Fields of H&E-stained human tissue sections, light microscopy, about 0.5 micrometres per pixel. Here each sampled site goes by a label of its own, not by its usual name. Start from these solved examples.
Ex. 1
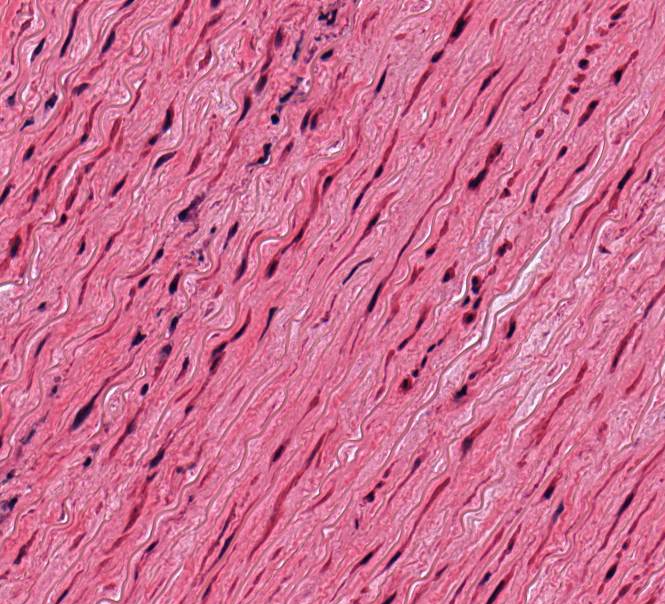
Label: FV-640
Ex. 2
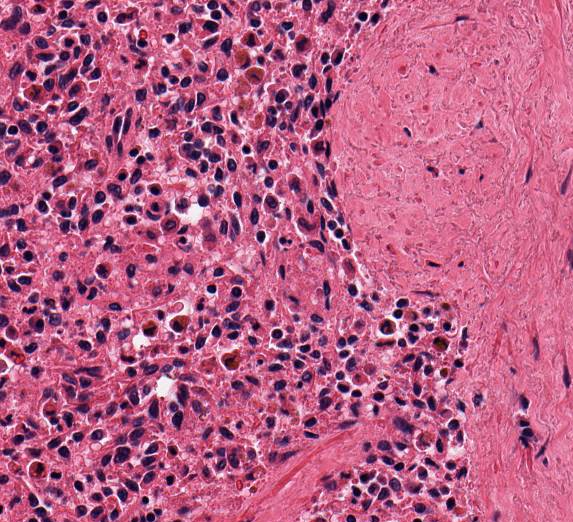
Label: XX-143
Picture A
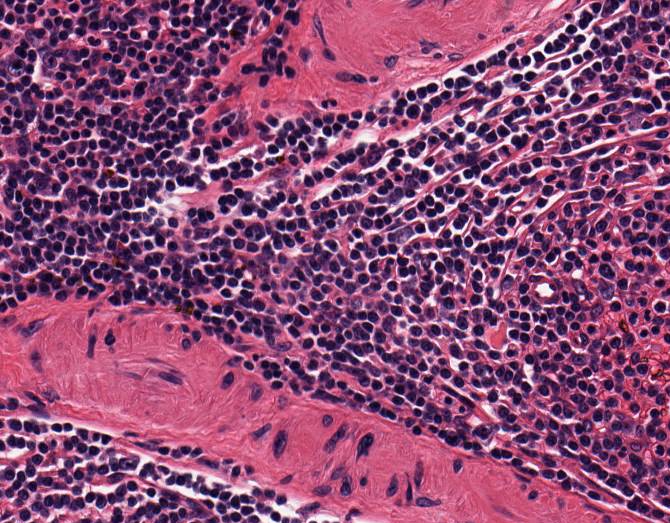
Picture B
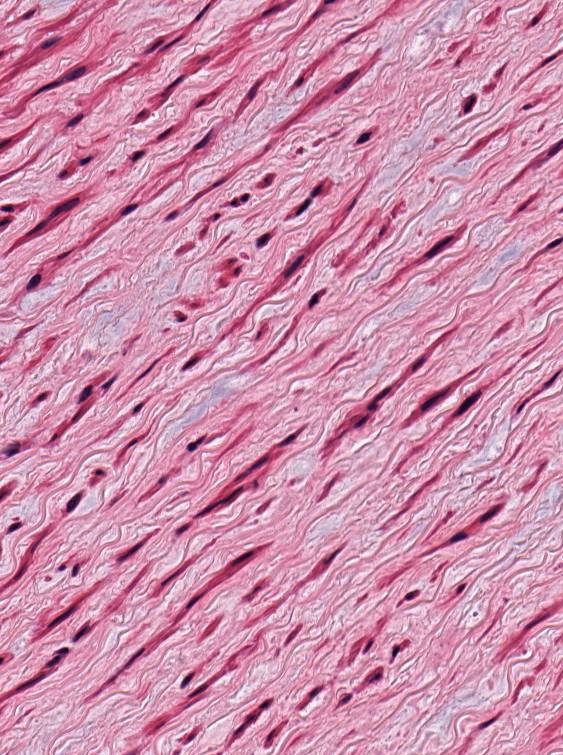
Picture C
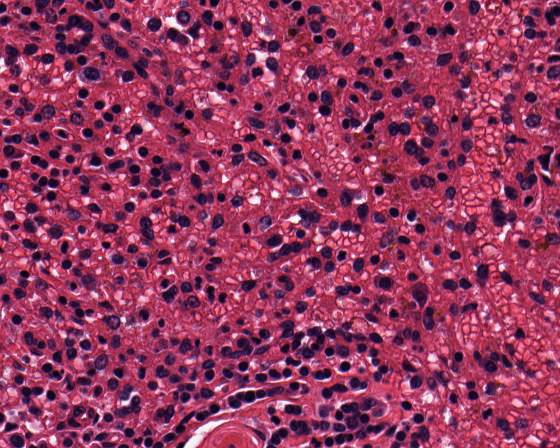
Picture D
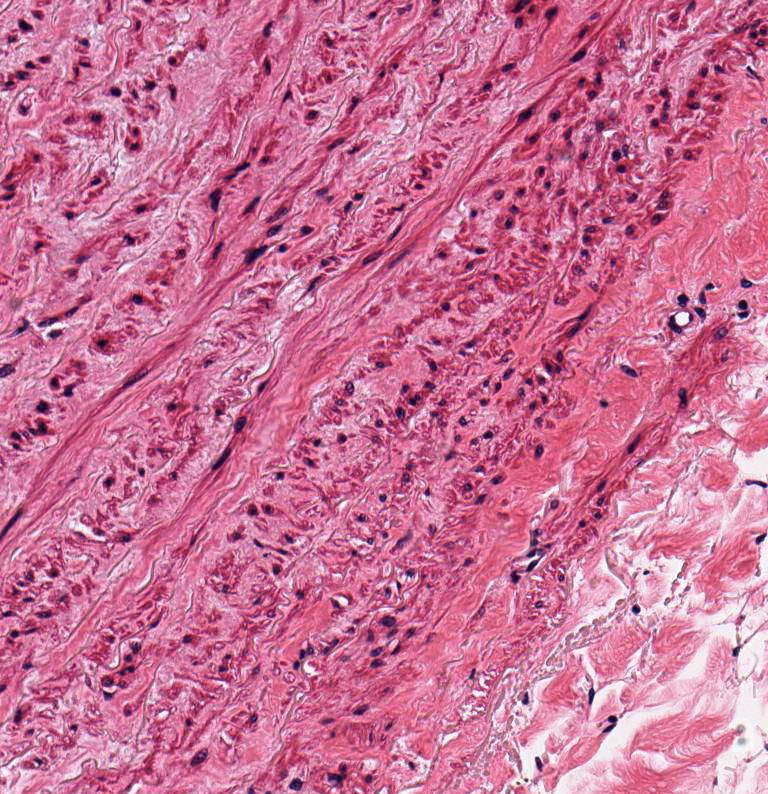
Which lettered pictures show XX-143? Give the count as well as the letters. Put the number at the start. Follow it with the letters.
2, namely A, C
